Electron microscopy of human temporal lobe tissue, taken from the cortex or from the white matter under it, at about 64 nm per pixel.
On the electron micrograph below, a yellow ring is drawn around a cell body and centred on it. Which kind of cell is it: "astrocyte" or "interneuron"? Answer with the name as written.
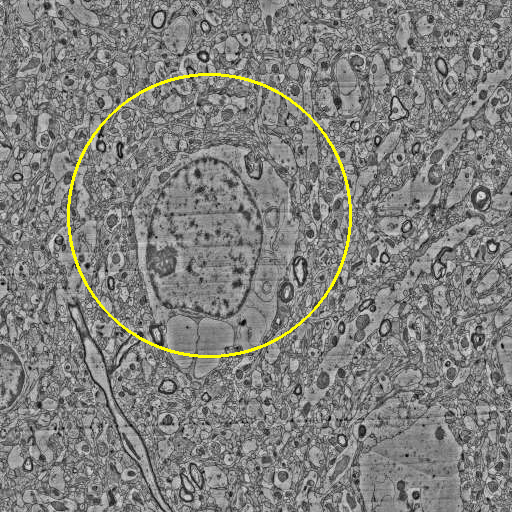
astrocyte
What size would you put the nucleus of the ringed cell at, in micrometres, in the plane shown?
The ringed cell's nucleus measures approximately 10 by 8 micrometres in this plane.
